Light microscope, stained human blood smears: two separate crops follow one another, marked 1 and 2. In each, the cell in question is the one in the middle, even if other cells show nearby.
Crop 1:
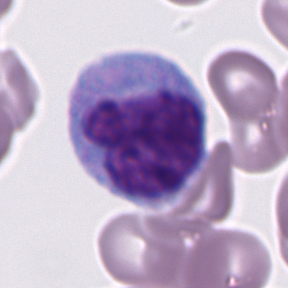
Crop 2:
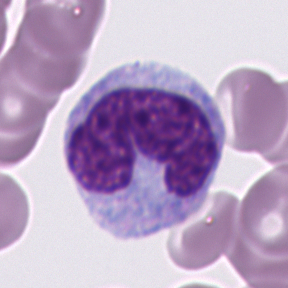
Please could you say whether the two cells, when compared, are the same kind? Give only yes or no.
yes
